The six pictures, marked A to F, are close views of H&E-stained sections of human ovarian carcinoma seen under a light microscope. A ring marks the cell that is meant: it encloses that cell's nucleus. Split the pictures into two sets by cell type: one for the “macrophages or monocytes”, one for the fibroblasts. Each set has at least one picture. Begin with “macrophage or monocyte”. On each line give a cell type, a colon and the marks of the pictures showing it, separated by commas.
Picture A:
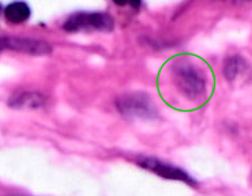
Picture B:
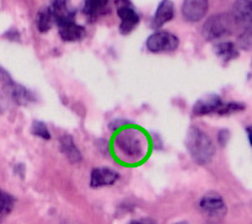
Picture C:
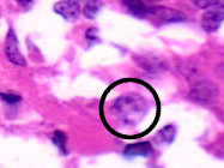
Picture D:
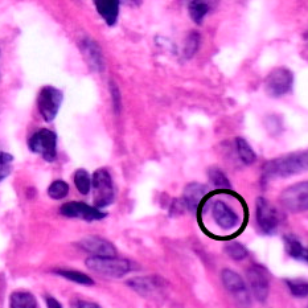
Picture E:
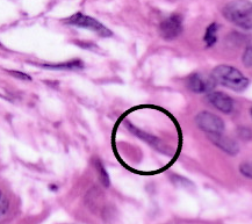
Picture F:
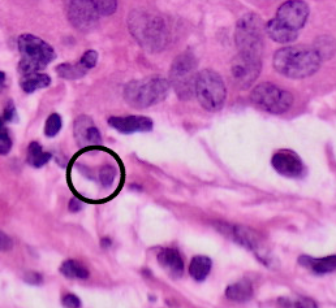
macrophage or monocyte: B, C, D, F
fibroblast: A, E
